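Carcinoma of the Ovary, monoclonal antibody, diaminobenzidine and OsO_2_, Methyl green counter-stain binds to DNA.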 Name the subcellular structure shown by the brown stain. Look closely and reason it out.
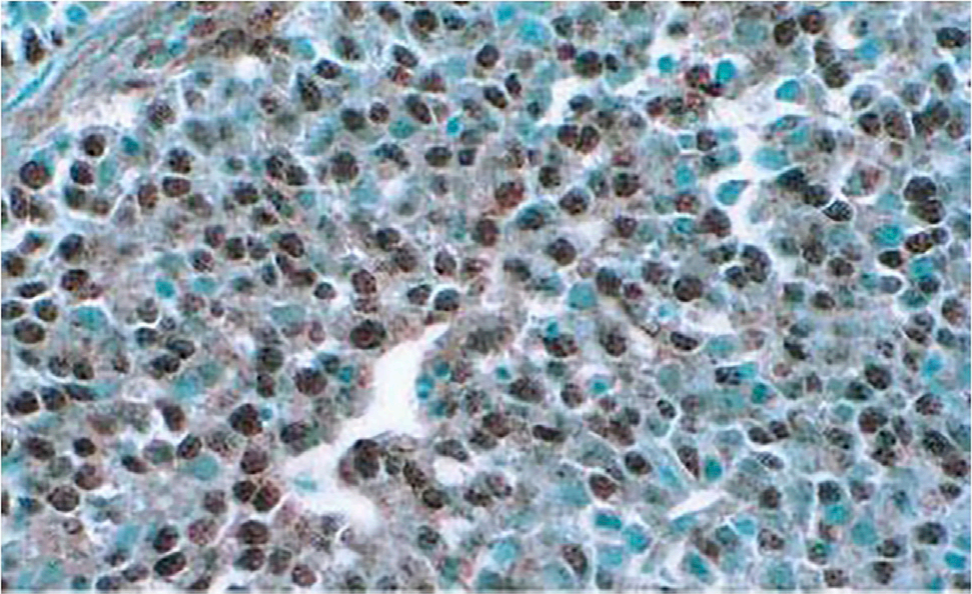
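Cell nuclei. The dark brown stain lies in round bodies, one per cell, at the centres of the cells. The paler grey-blue cytoplasm around these round bodies is largely free of dark brown. Some round bodies of the same size and place are green-blue instead of brown.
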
